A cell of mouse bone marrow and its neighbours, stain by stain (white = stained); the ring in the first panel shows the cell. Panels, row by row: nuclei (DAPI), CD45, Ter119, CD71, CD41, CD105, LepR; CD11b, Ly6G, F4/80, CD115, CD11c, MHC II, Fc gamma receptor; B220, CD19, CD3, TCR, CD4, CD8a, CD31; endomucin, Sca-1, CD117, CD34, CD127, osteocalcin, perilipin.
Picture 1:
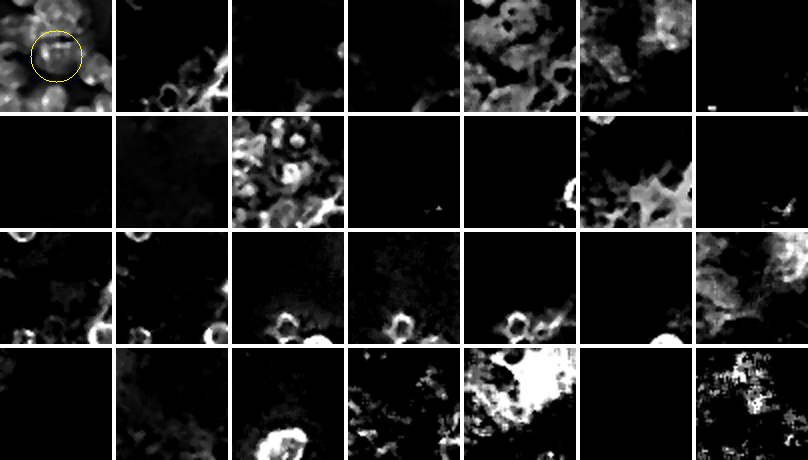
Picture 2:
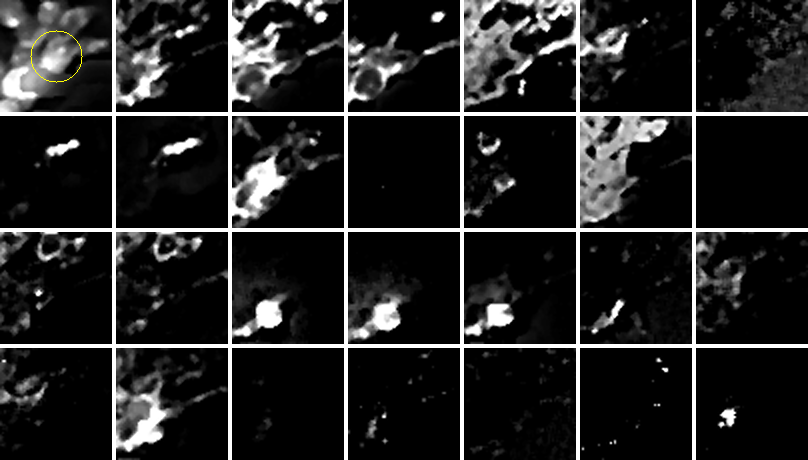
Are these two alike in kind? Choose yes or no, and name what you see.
No. First a common lymphoid progenitor, second an erythroblast.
